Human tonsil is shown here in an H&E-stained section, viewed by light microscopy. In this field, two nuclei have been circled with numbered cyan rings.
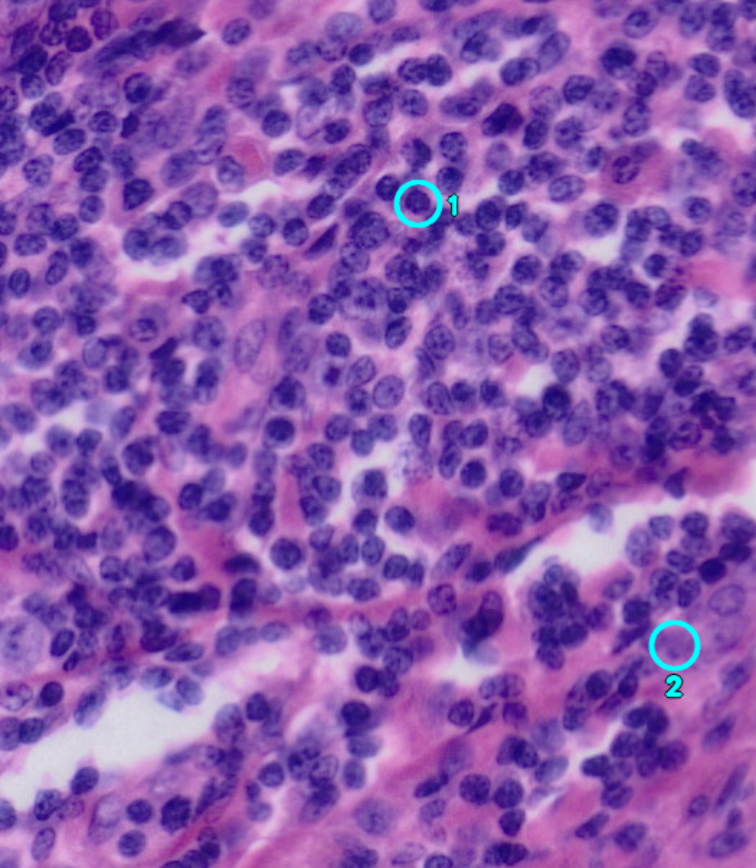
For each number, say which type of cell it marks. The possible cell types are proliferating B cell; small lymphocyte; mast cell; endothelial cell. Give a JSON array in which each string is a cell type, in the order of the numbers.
["small lymphocyte", "endothelial cell"]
